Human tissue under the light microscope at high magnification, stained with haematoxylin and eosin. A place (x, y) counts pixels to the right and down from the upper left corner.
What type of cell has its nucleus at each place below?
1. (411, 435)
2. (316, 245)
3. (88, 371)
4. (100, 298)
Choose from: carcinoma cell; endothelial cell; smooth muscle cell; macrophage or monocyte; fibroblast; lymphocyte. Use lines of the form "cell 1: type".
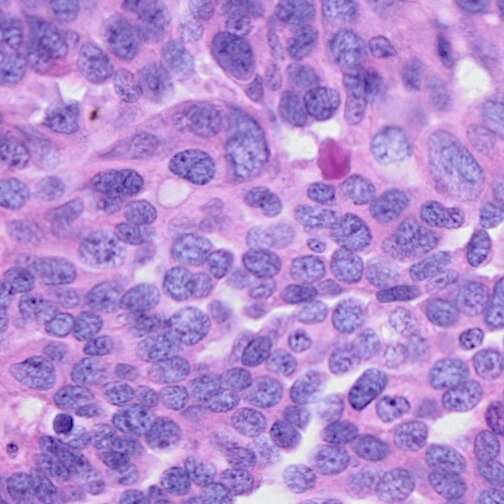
cell 1: carcinoma cell
cell 2: macrophage or monocyte
cell 3: carcinoma cell
cell 4: carcinoma cell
